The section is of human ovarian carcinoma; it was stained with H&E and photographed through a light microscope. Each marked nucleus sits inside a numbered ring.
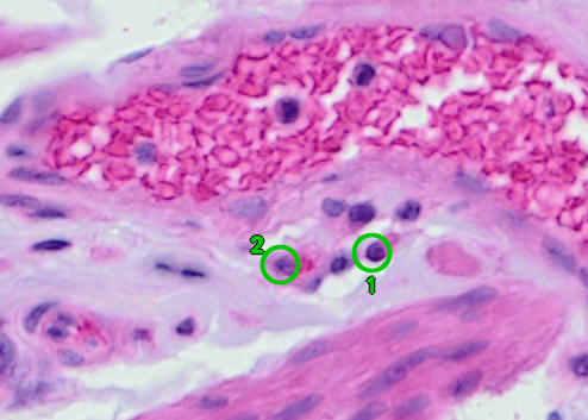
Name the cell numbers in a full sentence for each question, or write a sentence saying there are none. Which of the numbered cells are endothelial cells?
Among the cells marked with numbers, the only one that is an endothelial cell is number 2.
